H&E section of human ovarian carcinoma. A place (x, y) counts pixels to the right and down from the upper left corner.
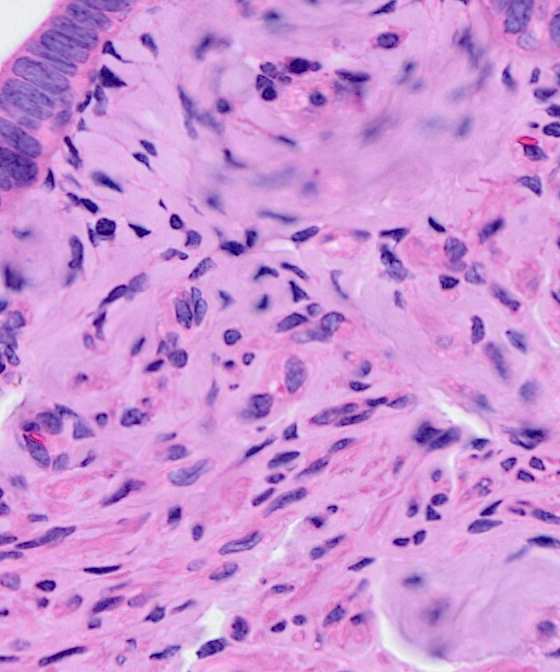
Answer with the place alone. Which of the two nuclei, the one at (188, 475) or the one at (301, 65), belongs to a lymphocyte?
(301, 65)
